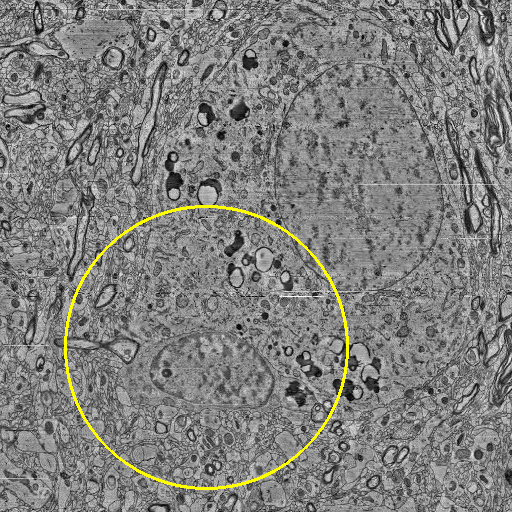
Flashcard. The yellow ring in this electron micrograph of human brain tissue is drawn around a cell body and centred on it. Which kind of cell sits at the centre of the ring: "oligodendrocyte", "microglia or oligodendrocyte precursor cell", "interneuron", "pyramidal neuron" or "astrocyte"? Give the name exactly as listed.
oligodendrocyte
